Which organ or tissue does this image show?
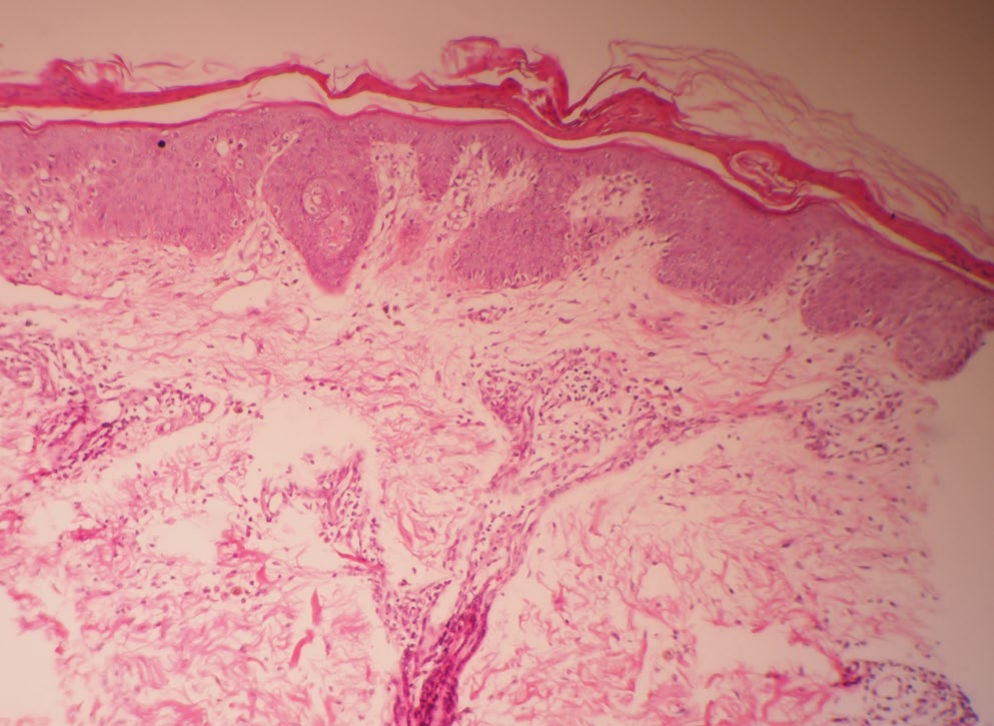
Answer: Epidermis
